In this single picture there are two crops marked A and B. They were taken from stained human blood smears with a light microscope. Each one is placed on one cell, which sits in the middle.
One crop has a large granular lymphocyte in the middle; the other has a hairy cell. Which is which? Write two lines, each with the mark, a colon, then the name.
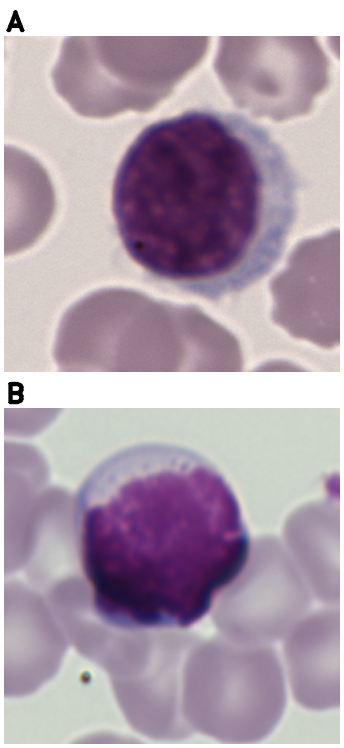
A: hairy cell
B: large granular lymphocyte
